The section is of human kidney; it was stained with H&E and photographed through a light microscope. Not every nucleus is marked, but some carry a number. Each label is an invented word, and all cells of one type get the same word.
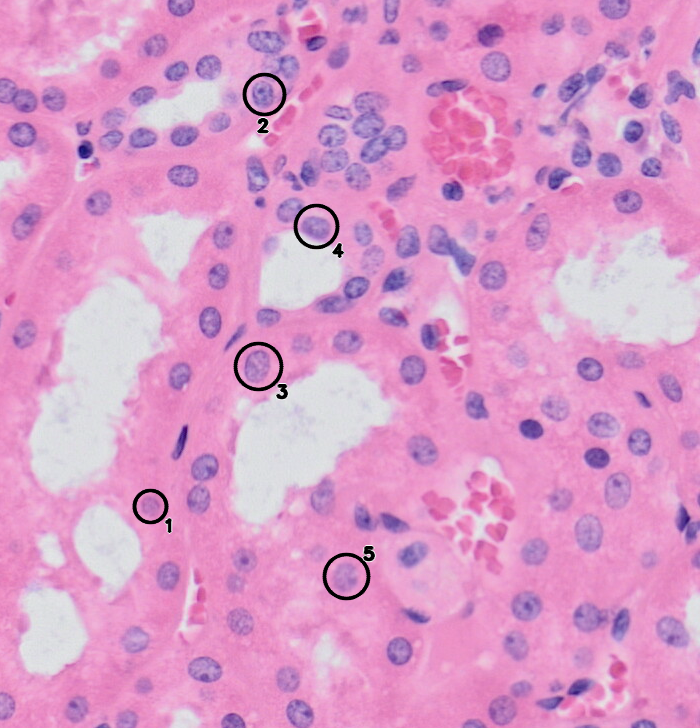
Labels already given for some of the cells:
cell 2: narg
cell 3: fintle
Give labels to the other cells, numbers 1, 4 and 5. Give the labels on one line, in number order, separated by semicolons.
fintle; narg; fintle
